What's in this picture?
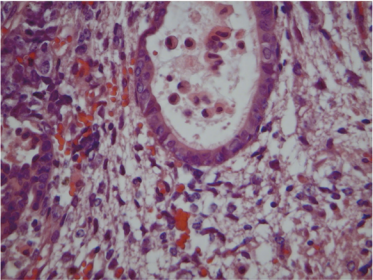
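A lumen in the upper right is lined by a single layer of tall columnar cells with purple nuclei near their bases and a pink luminal border. The lumen contains loose rounded cells and pale debris. Around the structure lies a loose stroma with many small dark nuclei and scattered red blood cells.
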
